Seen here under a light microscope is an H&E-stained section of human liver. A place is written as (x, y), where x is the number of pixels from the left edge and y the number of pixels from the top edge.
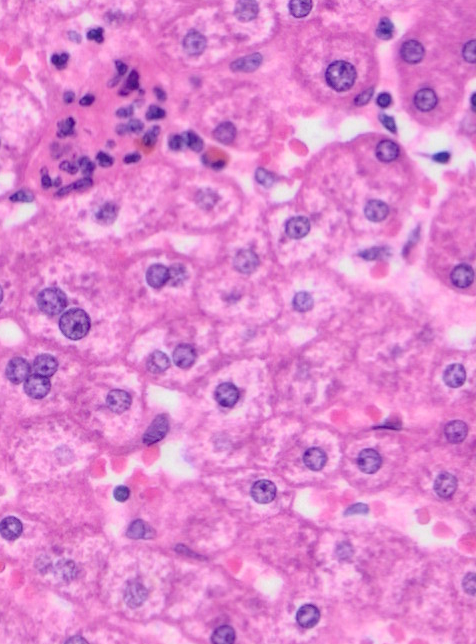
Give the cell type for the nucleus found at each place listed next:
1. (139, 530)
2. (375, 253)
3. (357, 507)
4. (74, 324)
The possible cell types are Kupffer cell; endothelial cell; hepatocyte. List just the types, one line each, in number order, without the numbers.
Kupffer cell
Kupffer cell
endothelial cell
hepatocyte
